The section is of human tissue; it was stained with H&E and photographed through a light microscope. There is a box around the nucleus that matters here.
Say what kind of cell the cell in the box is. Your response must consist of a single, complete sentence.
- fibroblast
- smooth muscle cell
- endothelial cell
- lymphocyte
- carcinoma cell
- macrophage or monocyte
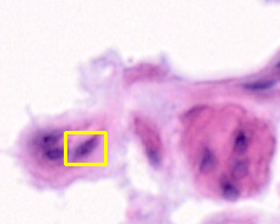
Microscopically, the cell in the box is categorized as an endothelial cell.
